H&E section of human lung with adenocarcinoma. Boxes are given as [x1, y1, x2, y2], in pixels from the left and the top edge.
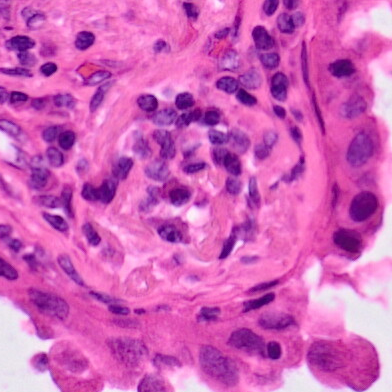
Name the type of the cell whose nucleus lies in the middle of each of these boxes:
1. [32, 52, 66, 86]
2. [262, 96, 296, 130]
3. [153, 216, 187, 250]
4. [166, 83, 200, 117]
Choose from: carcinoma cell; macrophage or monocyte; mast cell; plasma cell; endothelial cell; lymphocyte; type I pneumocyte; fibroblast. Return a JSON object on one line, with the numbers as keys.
{"1": "lymphocyte", "2": "lymphocyte", "3": "plasma cell", "4": "lymphocyte"}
